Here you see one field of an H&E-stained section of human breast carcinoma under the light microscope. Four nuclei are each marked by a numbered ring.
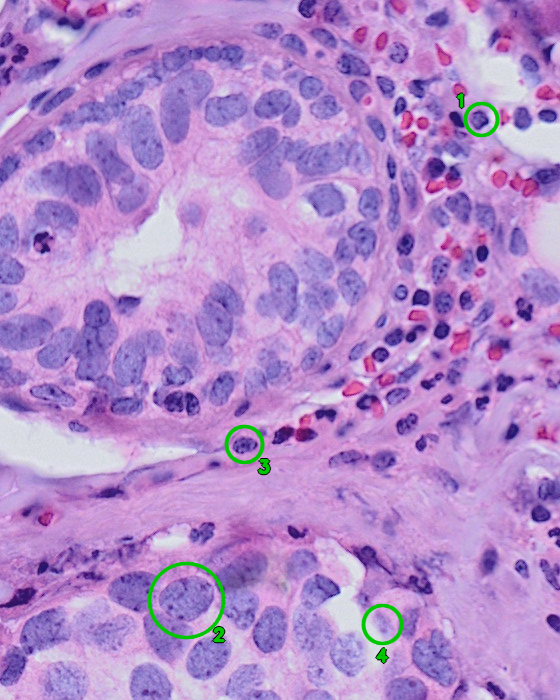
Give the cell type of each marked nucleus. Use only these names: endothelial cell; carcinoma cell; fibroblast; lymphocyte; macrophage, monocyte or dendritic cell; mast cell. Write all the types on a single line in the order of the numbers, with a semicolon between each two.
lymphocyte; carcinoma cell; mast cell; carcinoma cell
